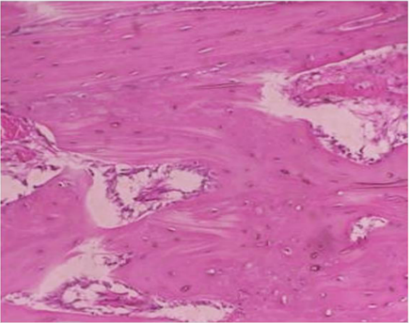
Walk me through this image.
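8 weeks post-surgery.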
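The spaces within the bone are less orderly: they vary in size and shape, some wide and angular, some narrow, and they point in different directions. Several contain loose cellular tissue and small vessels, with rows of cells lining their edges. A strip of cellular soft tissue sits at the left margin. Compared with well-ordered bone, the vascular channels here look irregular in their arrangement.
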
